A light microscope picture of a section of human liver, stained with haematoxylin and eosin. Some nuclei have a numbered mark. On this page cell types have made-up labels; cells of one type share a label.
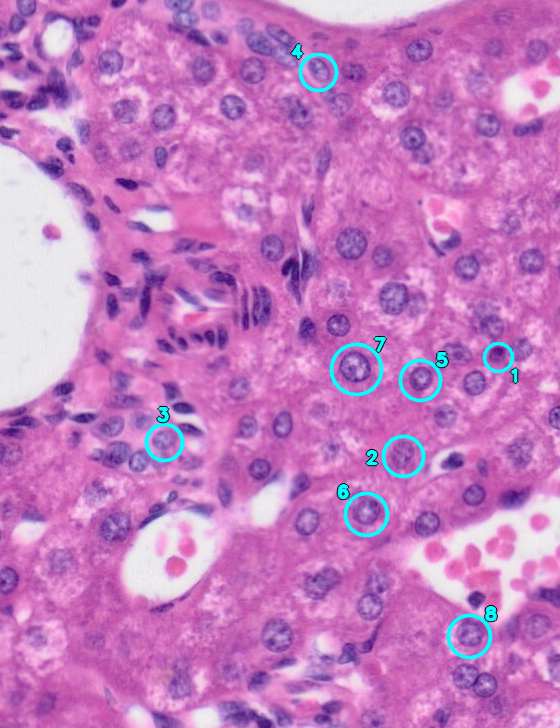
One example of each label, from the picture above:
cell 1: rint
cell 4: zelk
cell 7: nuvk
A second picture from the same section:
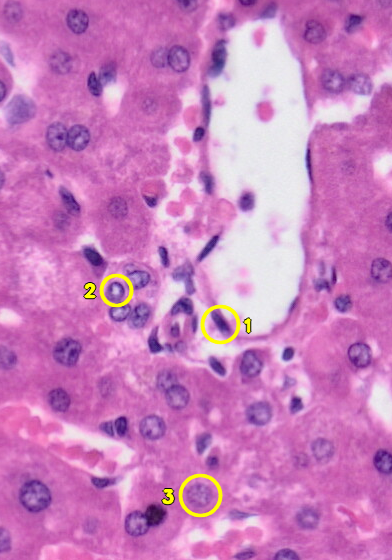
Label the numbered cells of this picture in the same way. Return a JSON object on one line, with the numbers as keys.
{"1": "rint", "2": "zelk", "3": "nuvk"}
